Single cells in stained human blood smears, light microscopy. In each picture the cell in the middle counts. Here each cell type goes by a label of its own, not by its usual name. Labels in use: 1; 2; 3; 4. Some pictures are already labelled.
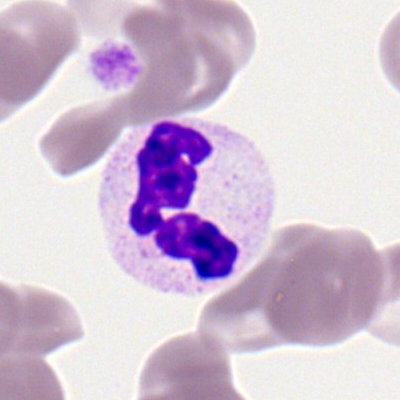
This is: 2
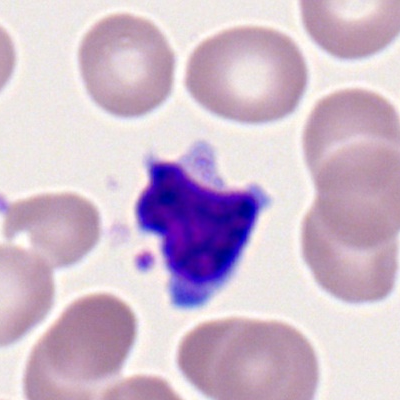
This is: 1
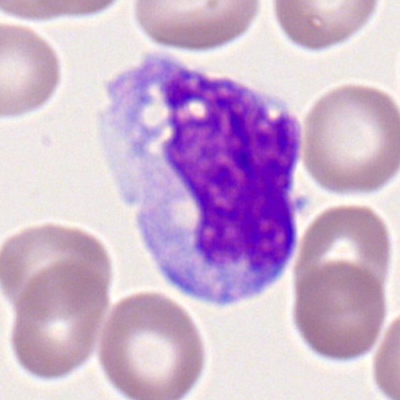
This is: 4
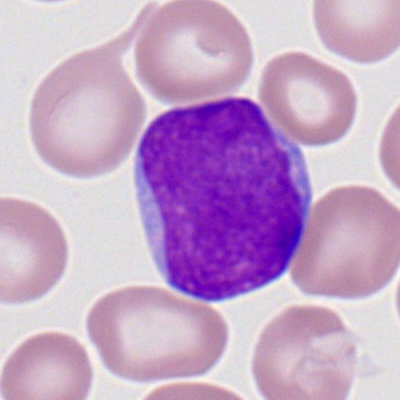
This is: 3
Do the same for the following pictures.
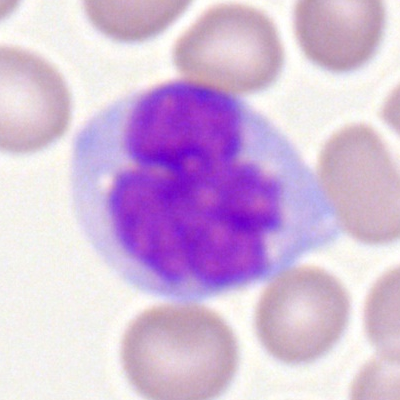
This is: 4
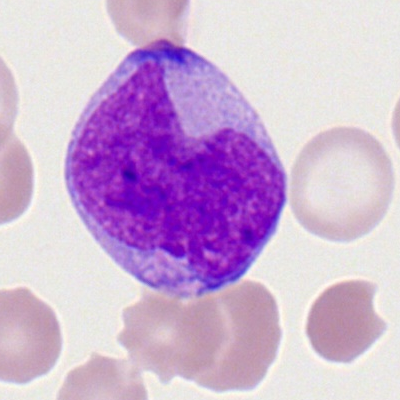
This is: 3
